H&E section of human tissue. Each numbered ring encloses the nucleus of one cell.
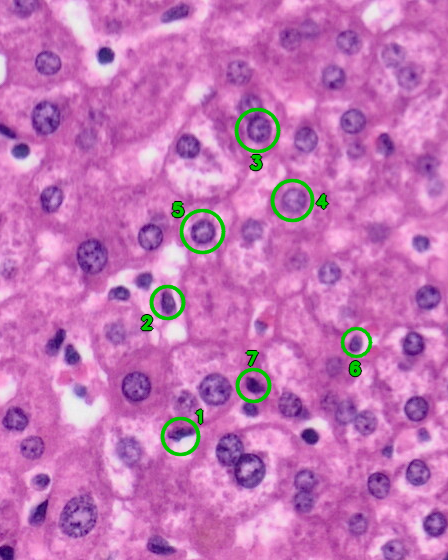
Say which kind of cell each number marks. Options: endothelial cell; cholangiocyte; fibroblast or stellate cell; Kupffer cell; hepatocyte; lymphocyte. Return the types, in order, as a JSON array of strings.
["endothelial cell", "Kupffer cell", "hepatocyte", "hepatocyte", "hepatocyte", "lymphocyte", "fibroblast or stellate cell"]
